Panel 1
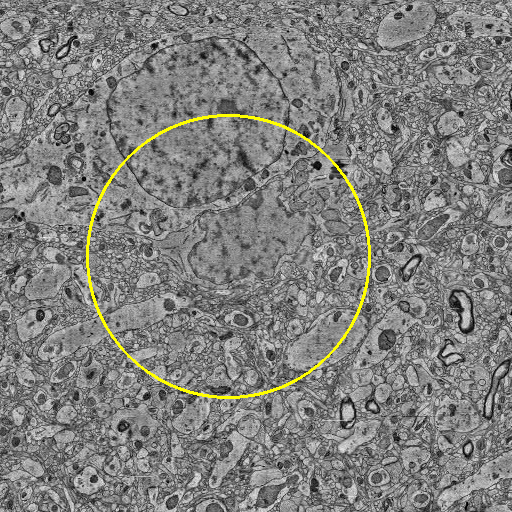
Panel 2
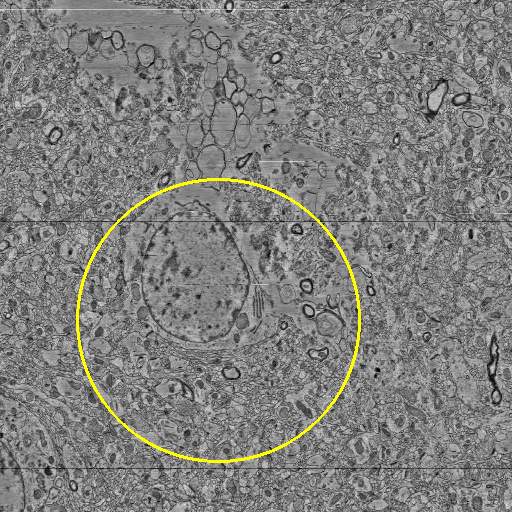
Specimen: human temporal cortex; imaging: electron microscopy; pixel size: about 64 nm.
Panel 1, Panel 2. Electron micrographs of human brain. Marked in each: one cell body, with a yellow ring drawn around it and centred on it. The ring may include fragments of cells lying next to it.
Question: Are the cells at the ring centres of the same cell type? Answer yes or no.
yes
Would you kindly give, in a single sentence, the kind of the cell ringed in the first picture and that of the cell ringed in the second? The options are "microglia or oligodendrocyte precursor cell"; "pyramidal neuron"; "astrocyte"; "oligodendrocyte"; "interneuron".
The second cell is an astrocyte, just as the first is.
